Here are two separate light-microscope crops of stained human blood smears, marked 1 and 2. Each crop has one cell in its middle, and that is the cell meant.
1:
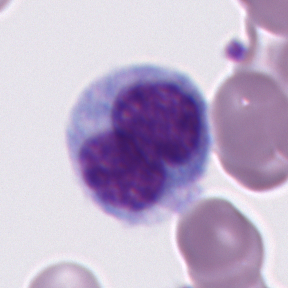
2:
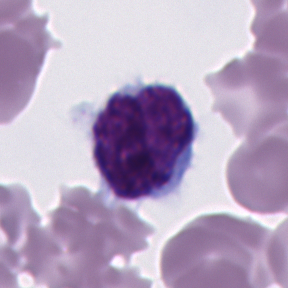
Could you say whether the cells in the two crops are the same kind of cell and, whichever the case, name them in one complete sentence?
No, the cell that crop 1 shows is a monocyte, and the one crop 2 shows is a hairy cell.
